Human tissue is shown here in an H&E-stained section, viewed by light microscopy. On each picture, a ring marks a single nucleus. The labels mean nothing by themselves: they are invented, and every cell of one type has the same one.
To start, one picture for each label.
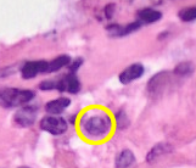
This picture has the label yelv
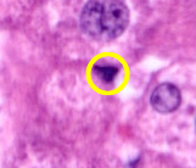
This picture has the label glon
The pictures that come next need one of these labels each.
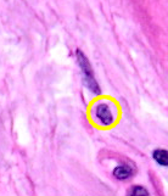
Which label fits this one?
yelv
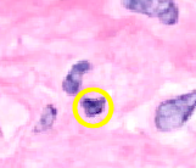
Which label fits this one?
yelv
